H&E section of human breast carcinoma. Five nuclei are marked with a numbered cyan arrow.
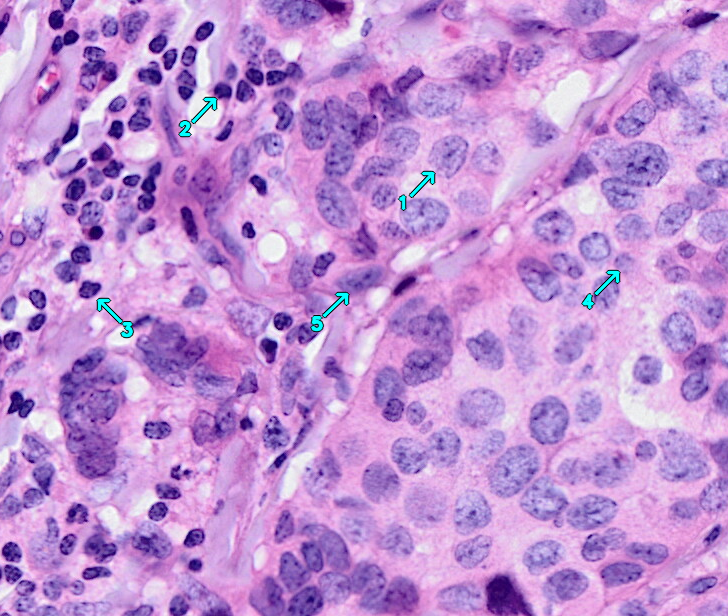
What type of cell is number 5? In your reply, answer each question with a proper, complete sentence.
Cell 5 should be recorded as an endothelial cell.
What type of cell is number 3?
The cell that goes by number 3 is a lymphocyte.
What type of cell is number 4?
Here, the cell given the number 4 is a carcinoma cell.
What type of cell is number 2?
Denoted by the label 2 in the section is a lymphocyte.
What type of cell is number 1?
The cell marked with number 1 is a carcinoma cell.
